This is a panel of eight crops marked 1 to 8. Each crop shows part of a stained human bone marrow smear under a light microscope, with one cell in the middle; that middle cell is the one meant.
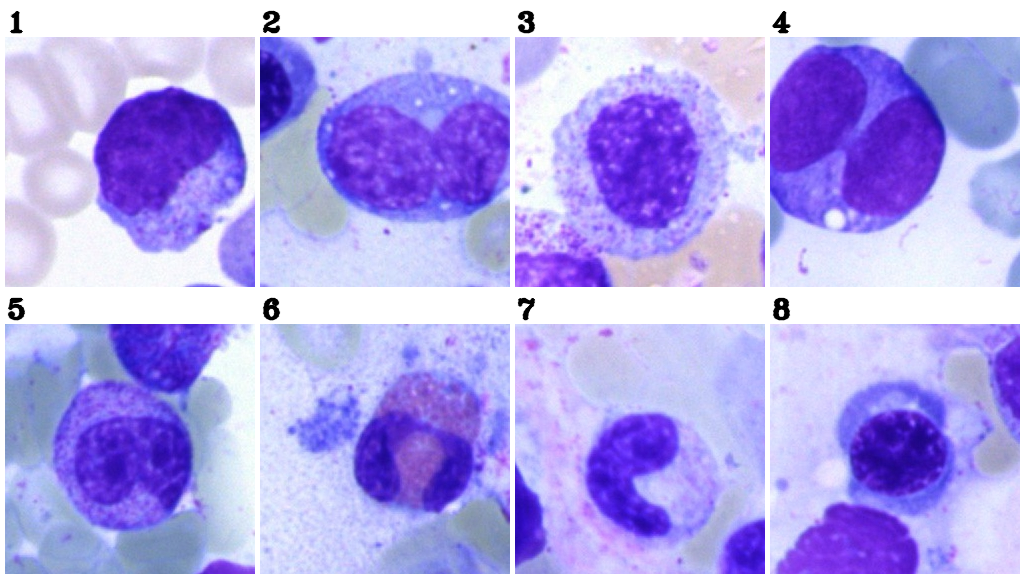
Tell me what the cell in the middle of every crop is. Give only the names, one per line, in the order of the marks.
promyelocyte
monocyte
myelocyte
blast
metamyelocyte
eosinophil
band neutrophil
normoblast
